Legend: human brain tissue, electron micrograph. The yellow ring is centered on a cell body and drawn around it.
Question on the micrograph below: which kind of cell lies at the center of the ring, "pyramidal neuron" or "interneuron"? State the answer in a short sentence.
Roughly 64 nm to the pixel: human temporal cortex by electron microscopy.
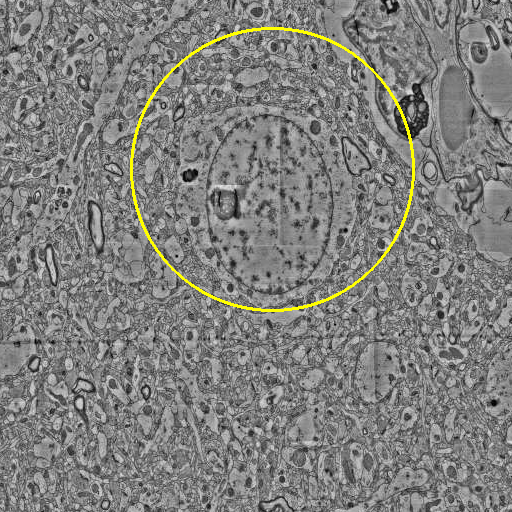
At the center of the ring lies a pyramidal neuron.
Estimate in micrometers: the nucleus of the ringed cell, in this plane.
In this plane the nucleus measures roughly 11 by 8 micrometers.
